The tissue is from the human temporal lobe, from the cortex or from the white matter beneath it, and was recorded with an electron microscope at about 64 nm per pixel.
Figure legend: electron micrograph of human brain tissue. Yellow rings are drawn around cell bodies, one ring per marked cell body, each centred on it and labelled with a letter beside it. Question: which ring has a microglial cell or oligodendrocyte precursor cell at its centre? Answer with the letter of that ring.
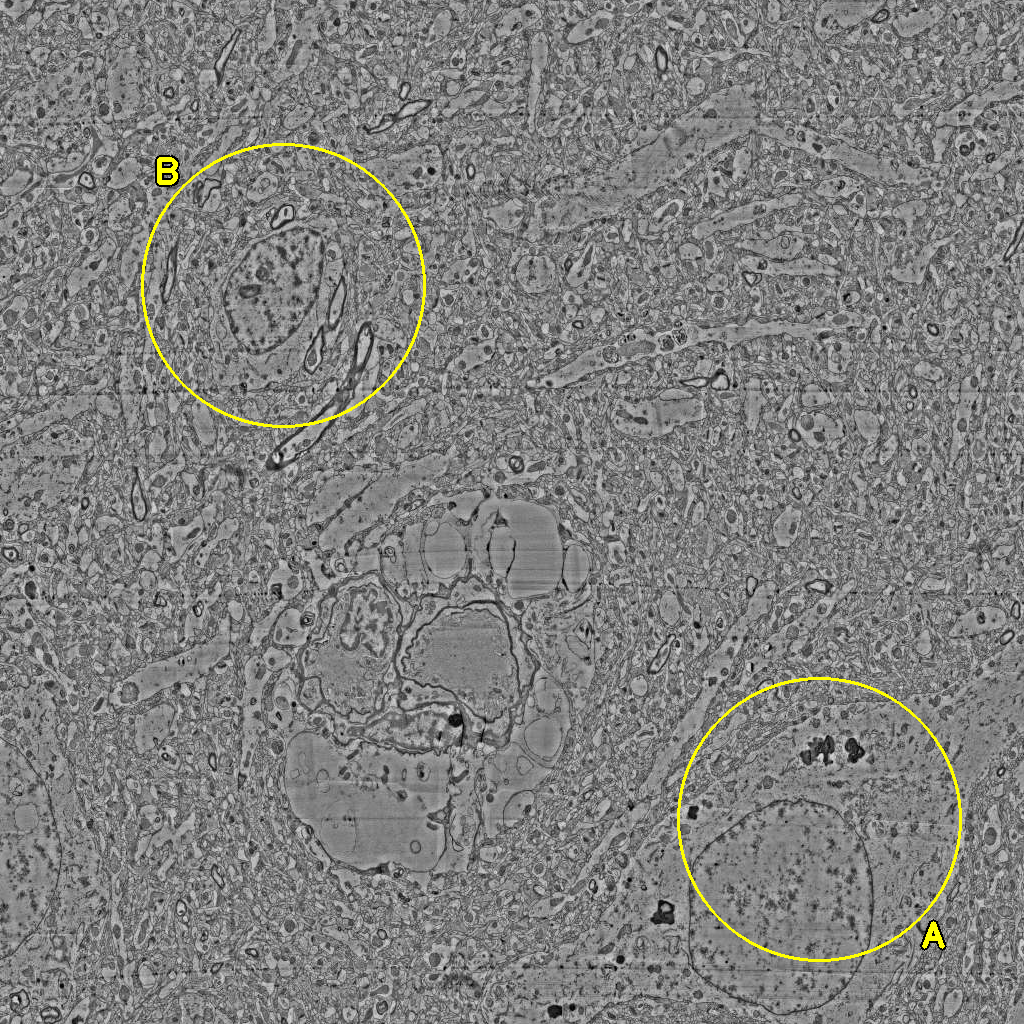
B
